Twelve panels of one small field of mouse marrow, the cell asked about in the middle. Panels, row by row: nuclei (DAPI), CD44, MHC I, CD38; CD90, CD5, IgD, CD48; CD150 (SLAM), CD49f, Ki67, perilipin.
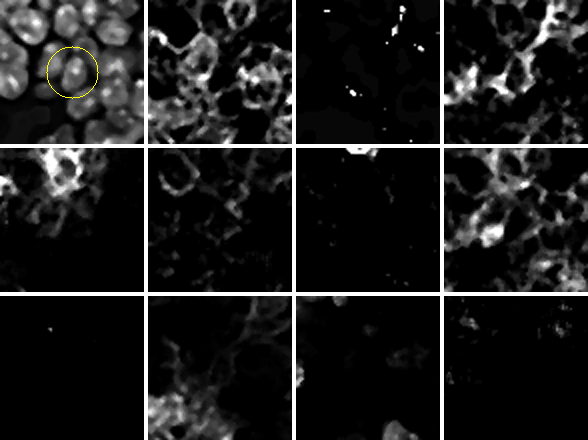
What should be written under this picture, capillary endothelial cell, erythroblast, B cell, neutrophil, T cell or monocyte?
capillary endothelial cell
